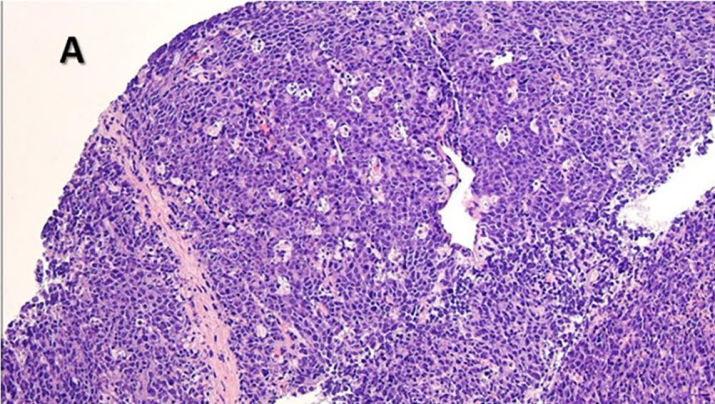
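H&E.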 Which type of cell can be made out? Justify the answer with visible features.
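Tingible body macrophages. Scattered large pale cells stand out within the dark cell sheet.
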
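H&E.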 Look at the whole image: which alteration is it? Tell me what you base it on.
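Starry sky. Scattered pale, clear spaces interrupt the dark sheet. The pale spaces contain cells with debris-filled cytoplasm.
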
